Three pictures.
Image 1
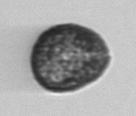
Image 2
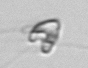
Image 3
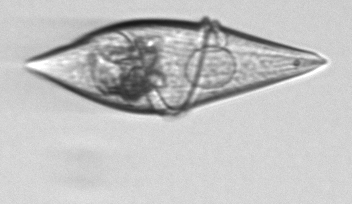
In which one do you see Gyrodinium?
In picture 3.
